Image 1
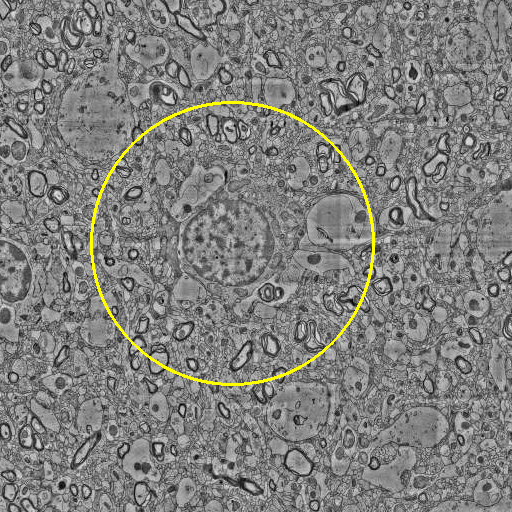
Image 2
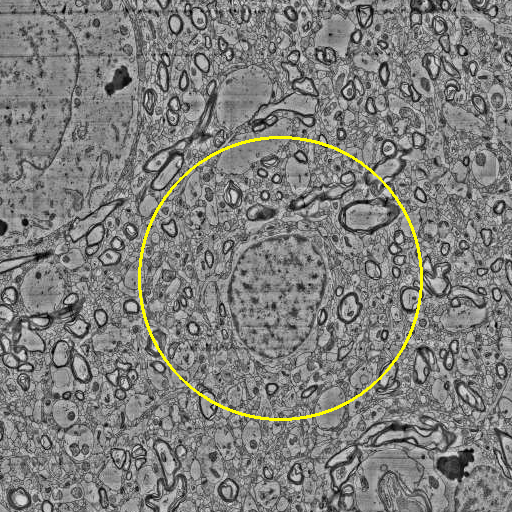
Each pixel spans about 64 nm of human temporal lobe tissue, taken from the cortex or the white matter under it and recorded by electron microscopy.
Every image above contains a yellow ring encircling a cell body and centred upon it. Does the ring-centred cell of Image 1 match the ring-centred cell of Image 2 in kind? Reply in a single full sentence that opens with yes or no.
No, the cell at the ring's centre in Image 1 is a separate kind from that in Image 2.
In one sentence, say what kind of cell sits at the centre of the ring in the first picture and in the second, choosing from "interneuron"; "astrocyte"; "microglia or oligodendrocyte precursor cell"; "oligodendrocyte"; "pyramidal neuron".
The first picture's ringed cell is an oligodendrocyte, while the second picture's is a microglial cell or oligodendrocyte precursor cell.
